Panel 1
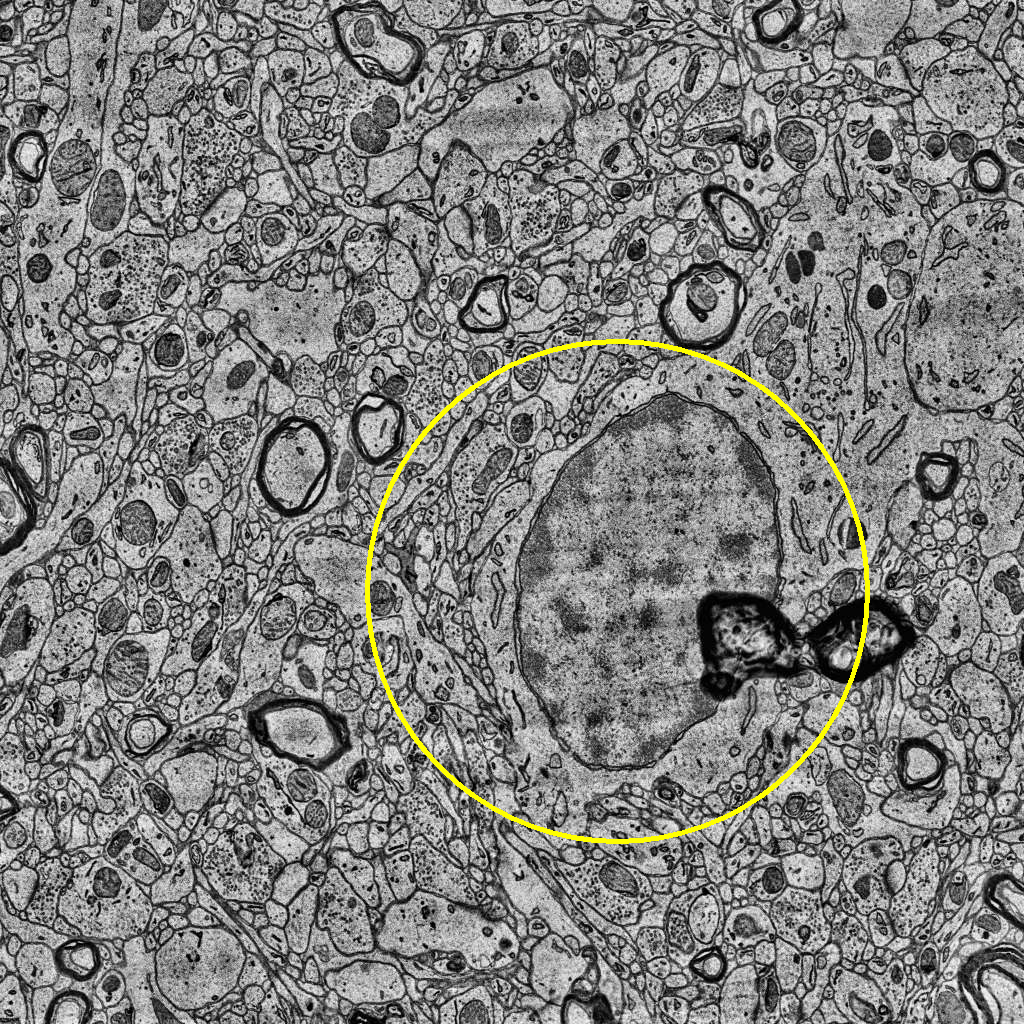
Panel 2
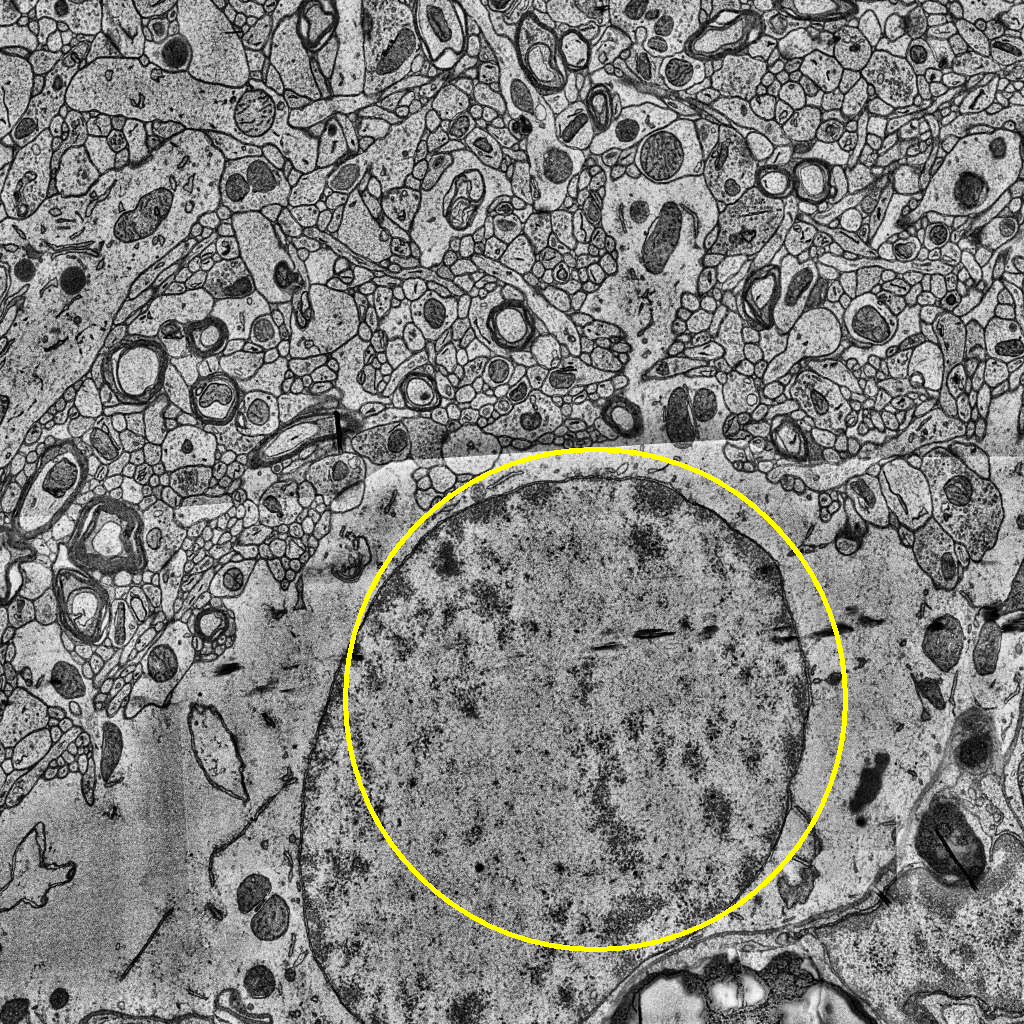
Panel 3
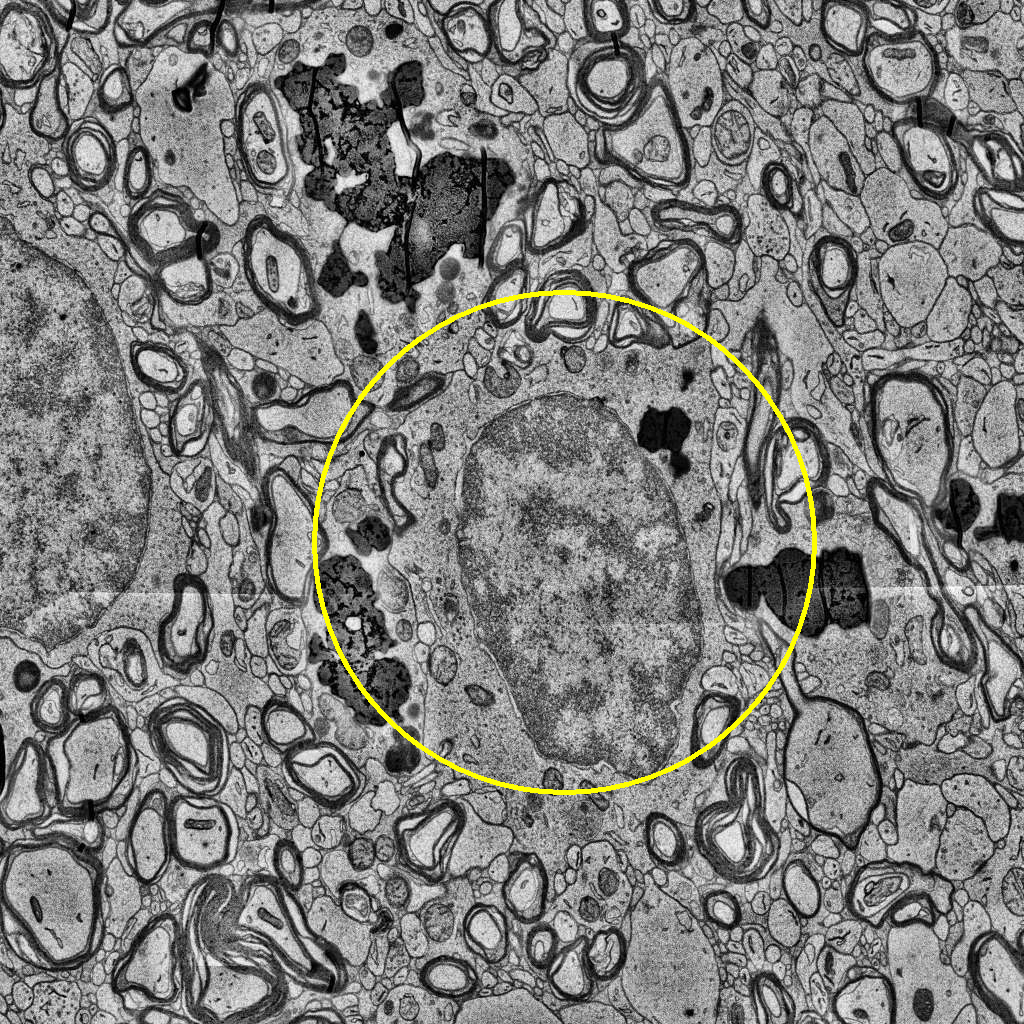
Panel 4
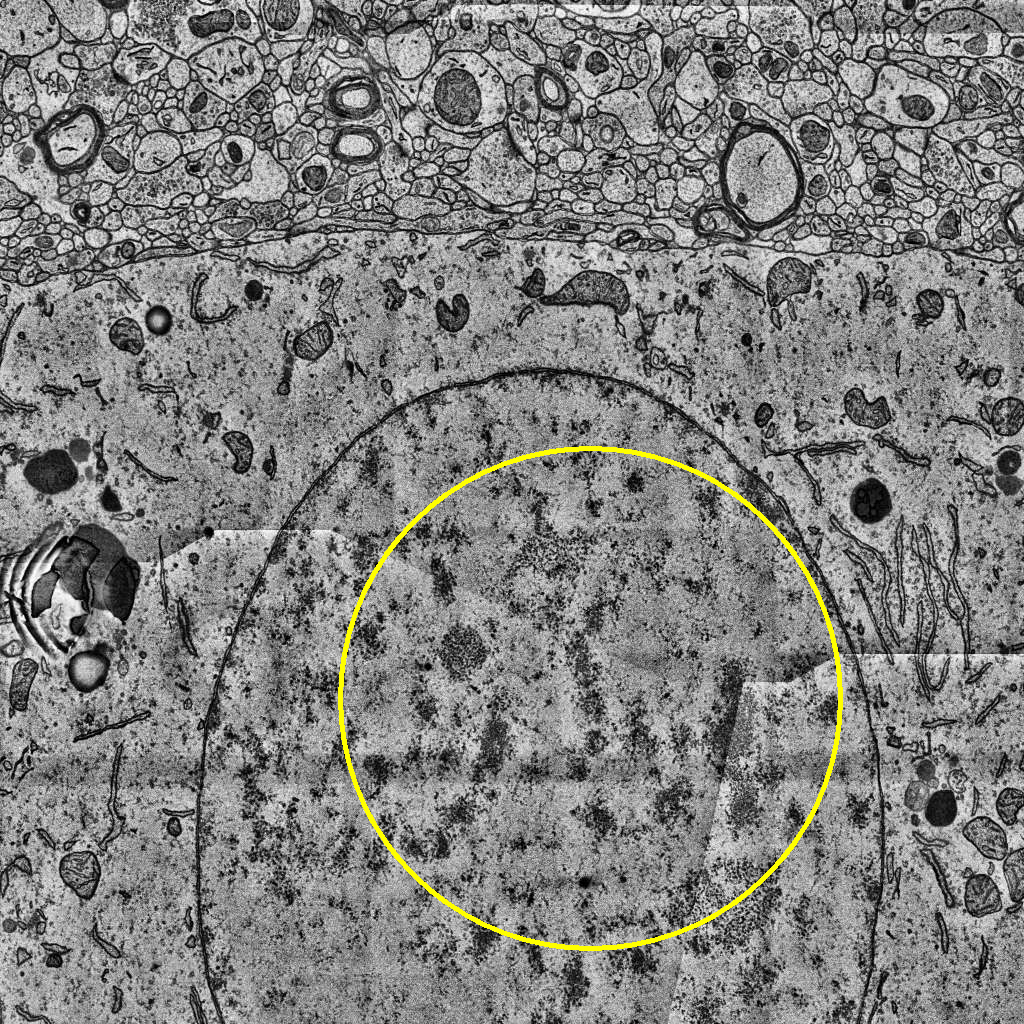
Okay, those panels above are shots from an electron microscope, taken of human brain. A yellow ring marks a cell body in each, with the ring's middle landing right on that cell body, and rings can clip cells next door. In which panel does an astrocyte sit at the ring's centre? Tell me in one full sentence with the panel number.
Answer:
The cell you asked for has the ring's centre inside it in panel 2.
